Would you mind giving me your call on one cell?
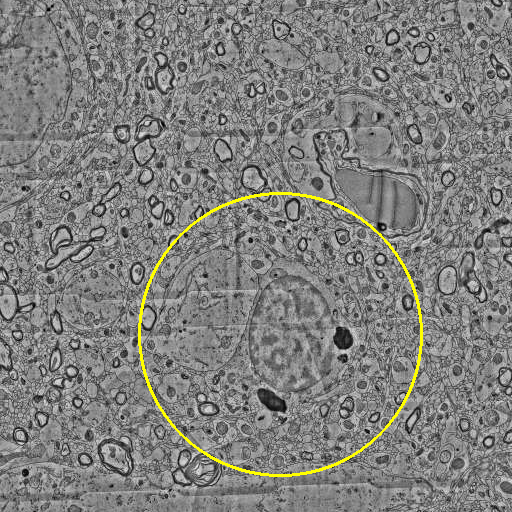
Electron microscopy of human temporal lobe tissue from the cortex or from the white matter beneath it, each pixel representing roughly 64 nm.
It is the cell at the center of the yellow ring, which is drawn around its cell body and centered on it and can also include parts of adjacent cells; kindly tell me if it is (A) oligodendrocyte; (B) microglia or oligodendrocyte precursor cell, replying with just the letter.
A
